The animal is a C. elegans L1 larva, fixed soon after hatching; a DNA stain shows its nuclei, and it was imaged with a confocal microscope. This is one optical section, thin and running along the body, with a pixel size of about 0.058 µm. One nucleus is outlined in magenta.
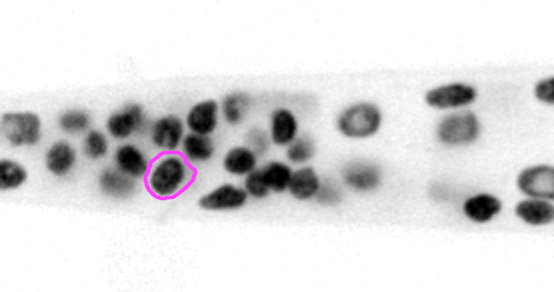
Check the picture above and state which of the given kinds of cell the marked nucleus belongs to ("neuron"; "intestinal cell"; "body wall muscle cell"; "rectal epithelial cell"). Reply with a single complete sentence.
It belongs to a rectal epithelial cell.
